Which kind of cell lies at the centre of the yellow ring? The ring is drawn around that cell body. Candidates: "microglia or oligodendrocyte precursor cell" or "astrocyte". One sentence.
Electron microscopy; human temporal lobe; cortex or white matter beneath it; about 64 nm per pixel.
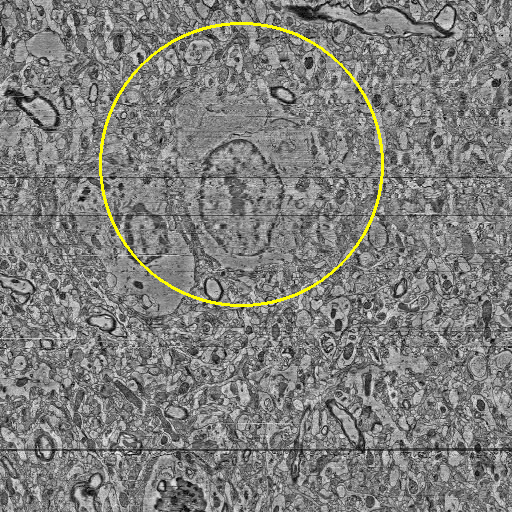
Lying at the centre of the ring is an astrocyte.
